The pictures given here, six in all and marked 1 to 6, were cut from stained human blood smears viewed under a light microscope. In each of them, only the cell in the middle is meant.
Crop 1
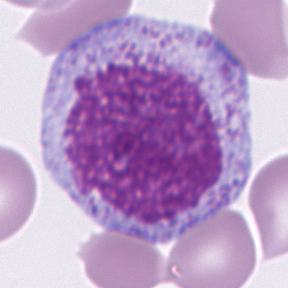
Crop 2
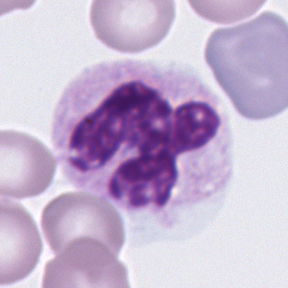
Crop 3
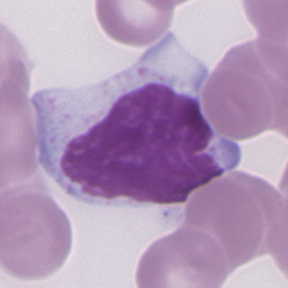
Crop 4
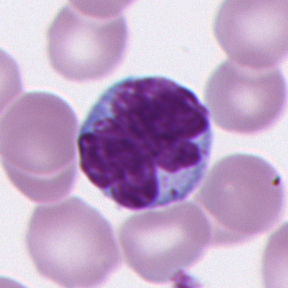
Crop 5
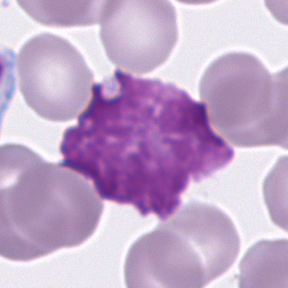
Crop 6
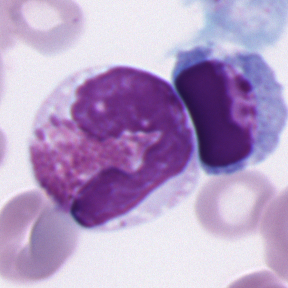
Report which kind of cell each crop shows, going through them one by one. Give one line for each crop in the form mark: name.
1: promyelocyte
2: segmented neutrophil
3: large granular lymphocyte
4: large granular lymphocyte
5: smudge cell
6: eosinophil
